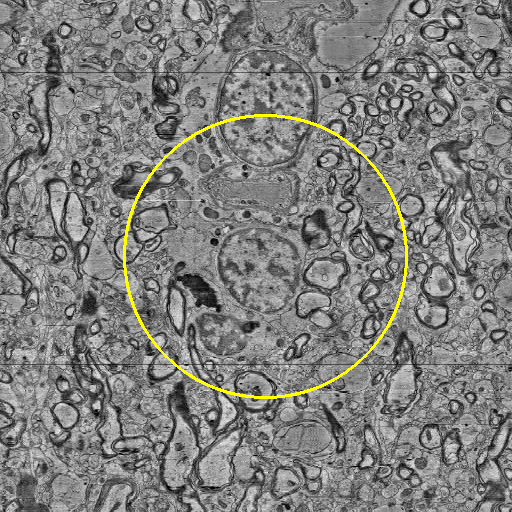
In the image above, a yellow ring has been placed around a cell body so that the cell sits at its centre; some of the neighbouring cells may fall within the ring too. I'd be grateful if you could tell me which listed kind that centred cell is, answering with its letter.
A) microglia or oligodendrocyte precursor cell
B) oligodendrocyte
B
